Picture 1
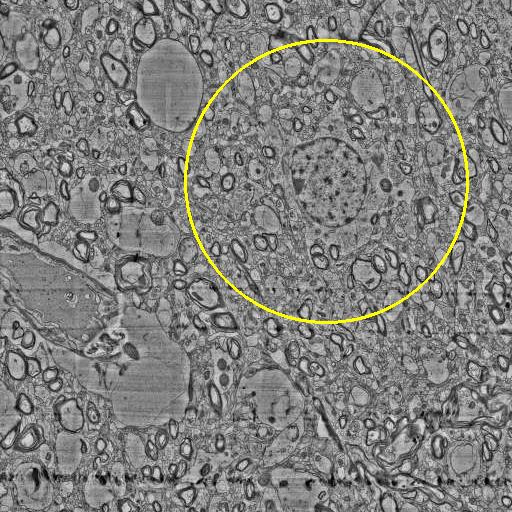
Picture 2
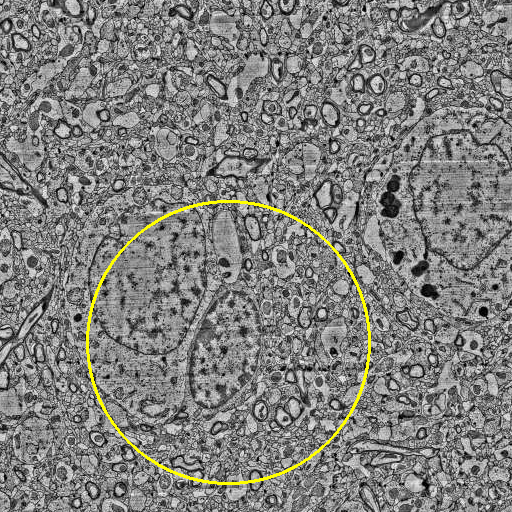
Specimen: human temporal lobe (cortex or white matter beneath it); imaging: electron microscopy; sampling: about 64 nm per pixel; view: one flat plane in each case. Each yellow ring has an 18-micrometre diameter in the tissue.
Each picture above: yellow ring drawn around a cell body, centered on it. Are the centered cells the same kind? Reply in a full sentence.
No, the two cells are two kinds of cell.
